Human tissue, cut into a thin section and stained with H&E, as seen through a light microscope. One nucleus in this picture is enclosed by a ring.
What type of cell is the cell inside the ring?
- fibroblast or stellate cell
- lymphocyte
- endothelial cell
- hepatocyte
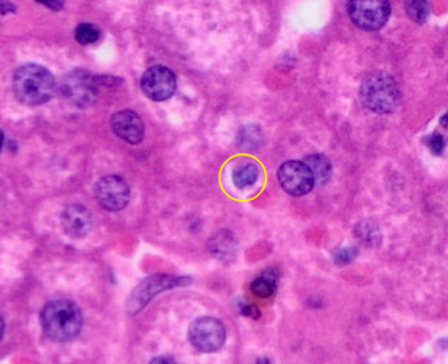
lymphocyte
